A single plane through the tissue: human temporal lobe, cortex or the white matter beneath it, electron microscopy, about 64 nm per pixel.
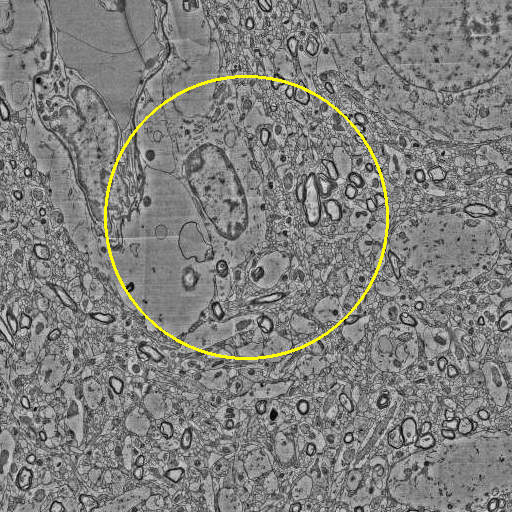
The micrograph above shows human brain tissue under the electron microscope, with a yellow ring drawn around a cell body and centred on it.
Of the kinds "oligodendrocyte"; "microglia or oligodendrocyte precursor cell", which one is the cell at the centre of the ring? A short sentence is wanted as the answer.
The one at the centre of the ring is a microglial cell or oligodendrocyte precursor cell.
